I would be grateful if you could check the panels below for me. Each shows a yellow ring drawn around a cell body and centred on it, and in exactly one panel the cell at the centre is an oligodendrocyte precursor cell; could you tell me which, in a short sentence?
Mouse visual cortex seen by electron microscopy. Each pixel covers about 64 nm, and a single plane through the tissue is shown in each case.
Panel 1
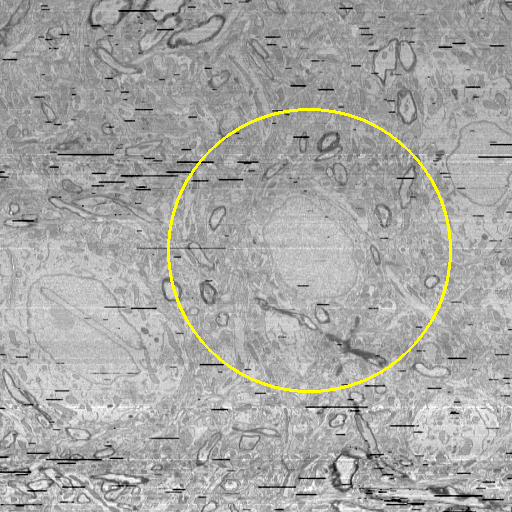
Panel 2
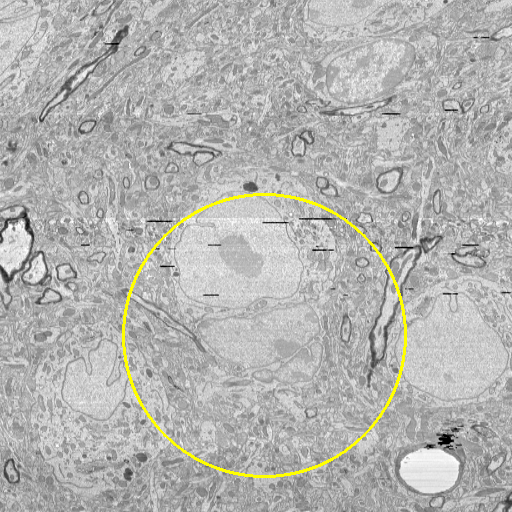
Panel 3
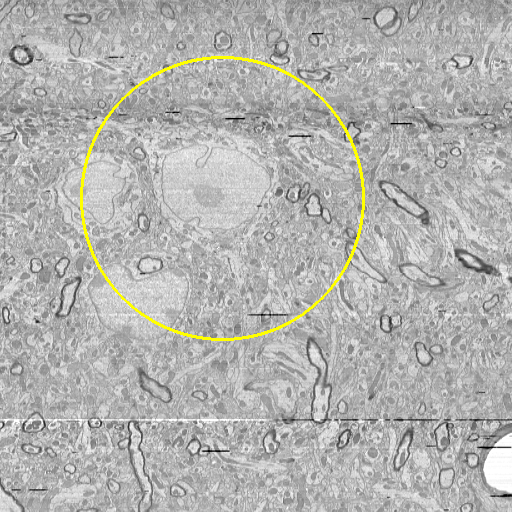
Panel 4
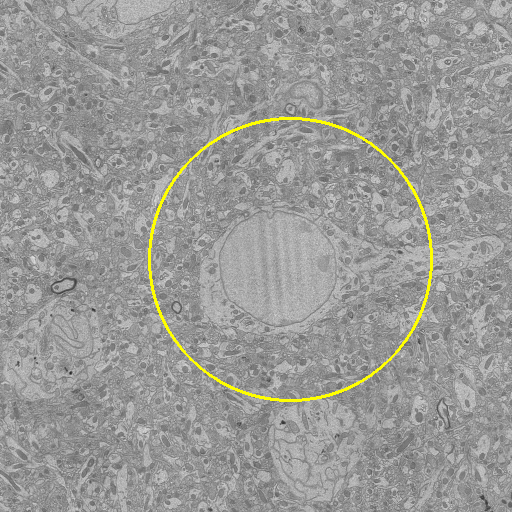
The ring in Panel 2 is centred on it.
